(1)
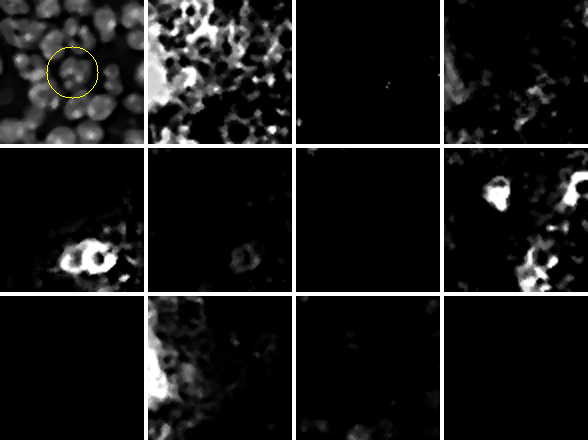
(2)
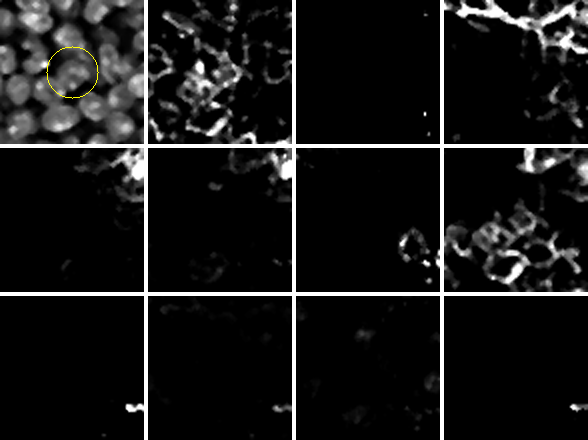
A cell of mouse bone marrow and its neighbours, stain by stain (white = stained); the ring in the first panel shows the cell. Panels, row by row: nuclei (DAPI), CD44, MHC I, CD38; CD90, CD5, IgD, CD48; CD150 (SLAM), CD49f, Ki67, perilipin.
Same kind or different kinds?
Same: neutrophils.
